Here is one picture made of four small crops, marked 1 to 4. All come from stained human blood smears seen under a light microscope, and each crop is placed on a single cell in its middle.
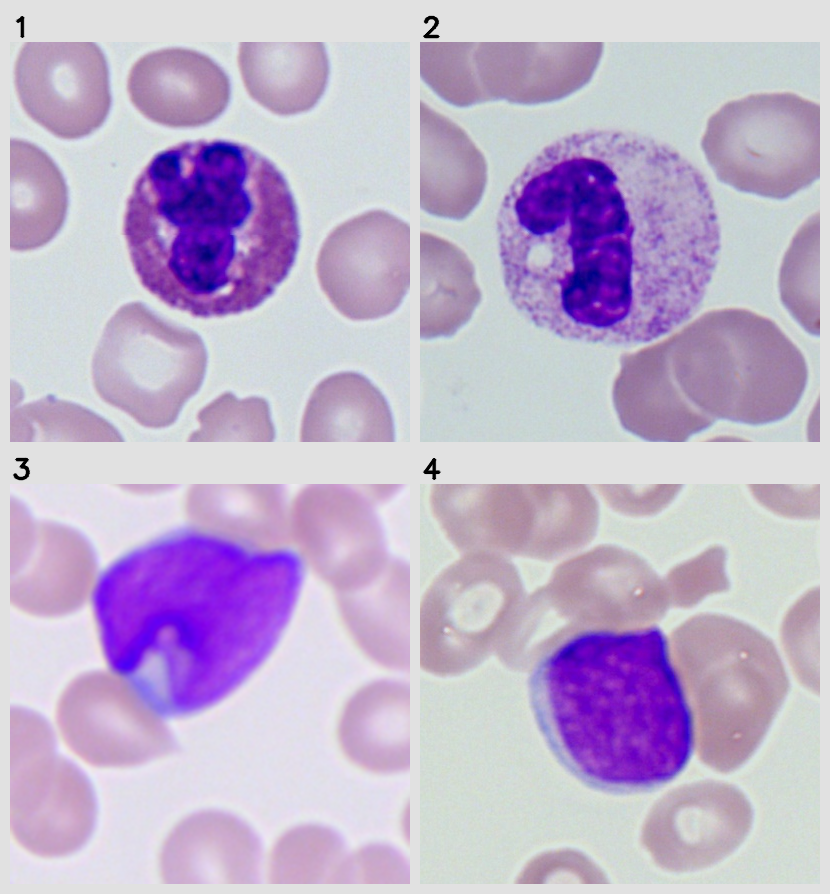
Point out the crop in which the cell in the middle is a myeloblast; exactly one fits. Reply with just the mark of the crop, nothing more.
3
